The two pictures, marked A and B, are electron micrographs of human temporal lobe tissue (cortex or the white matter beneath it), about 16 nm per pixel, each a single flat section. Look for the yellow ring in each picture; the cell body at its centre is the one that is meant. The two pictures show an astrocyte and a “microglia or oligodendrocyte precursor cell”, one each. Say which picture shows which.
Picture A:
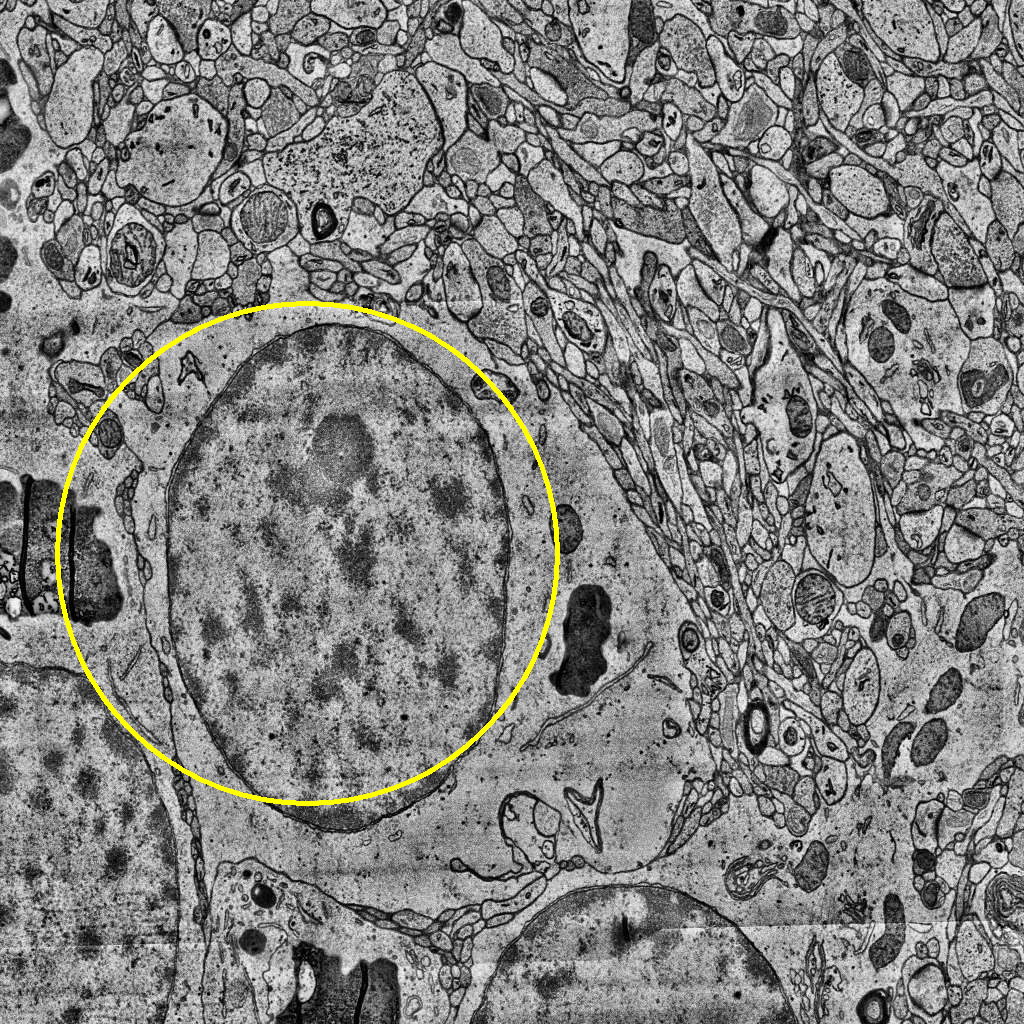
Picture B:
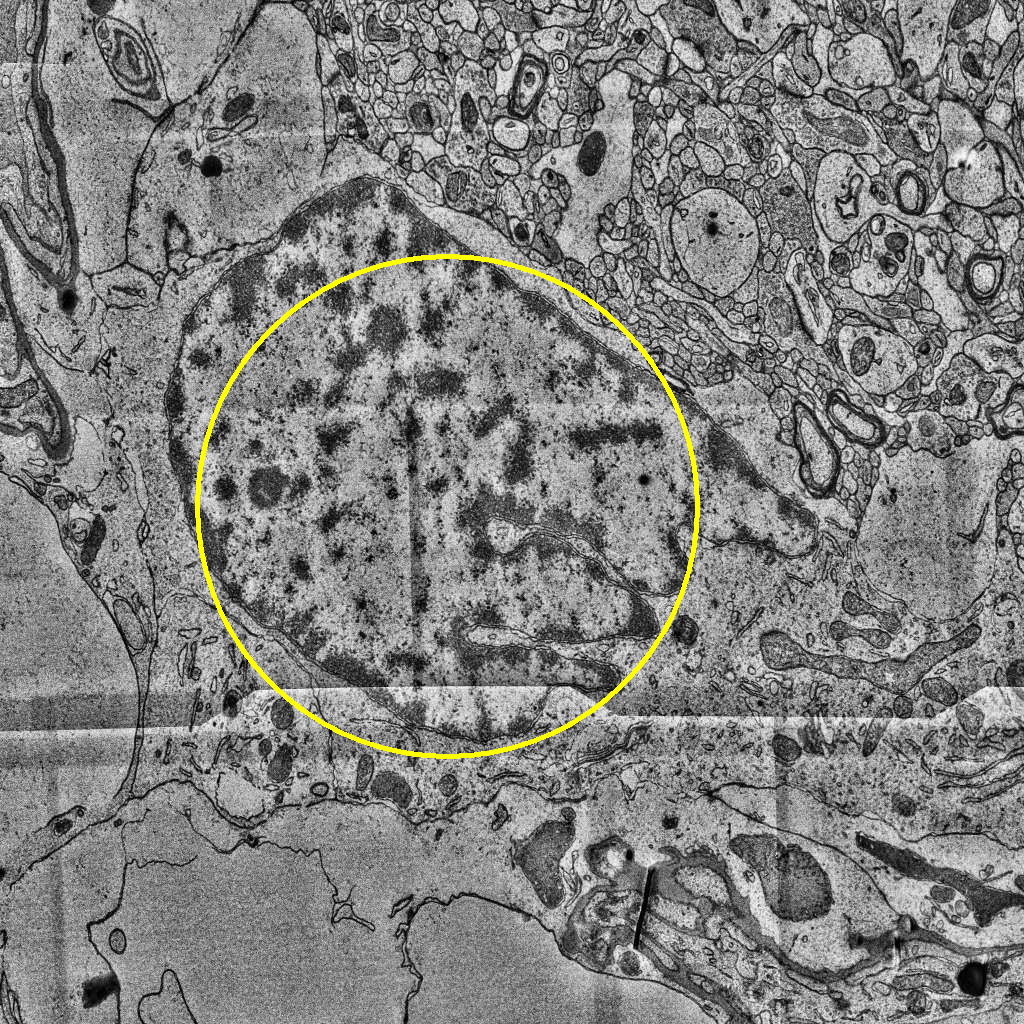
It is picture A that shows an astrocyte, and picture B that shows a “microglia or oligodendrocyte precursor cell”.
